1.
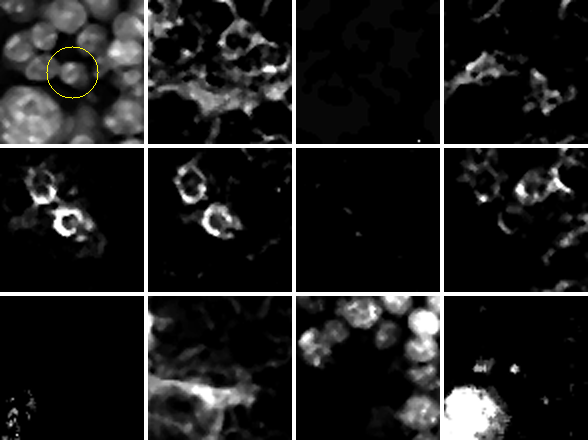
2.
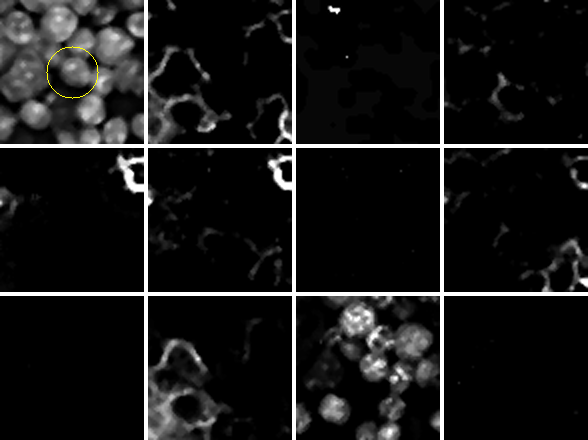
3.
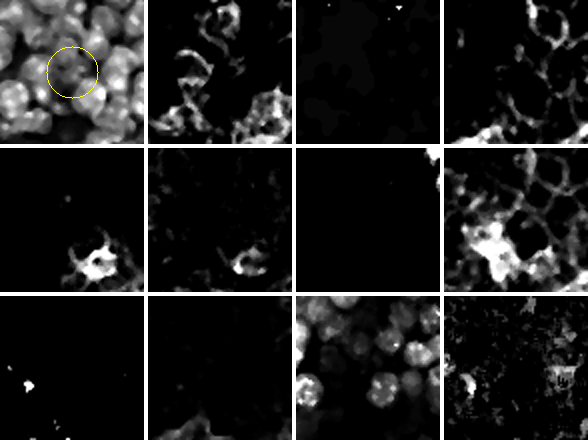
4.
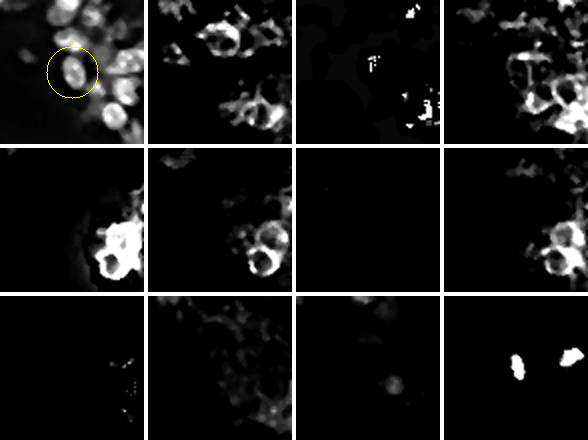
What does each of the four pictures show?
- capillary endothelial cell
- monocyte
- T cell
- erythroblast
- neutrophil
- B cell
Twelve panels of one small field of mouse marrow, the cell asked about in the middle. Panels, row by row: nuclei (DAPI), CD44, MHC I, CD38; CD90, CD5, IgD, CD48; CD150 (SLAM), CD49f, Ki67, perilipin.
(1) T cell
(2) erythroblast
(3) monocyte
(4) capillary endothelial cell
